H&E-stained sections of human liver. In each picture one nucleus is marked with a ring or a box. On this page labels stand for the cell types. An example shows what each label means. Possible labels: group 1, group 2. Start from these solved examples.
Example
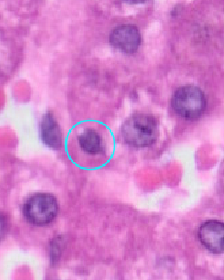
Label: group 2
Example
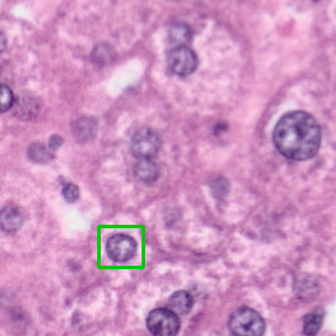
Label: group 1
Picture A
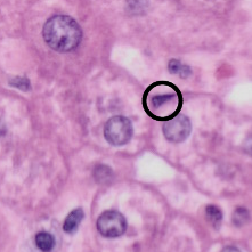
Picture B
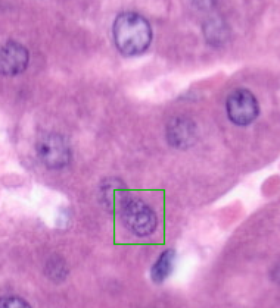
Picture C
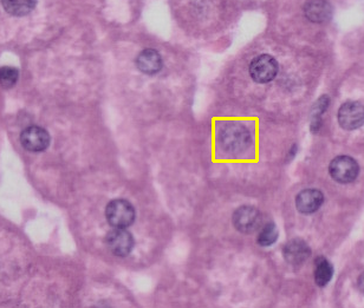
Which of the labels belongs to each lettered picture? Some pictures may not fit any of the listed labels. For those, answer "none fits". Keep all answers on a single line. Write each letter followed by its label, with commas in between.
A group 2, B group 1, C group 1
